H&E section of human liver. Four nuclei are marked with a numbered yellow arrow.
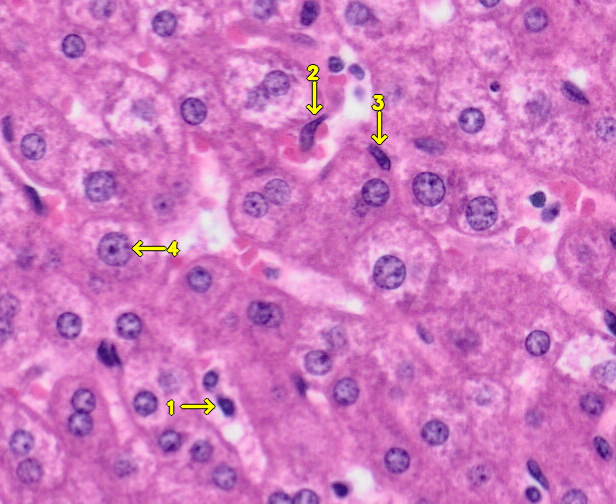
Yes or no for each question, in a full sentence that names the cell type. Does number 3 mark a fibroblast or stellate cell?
Yes, in this section the cell numbered 3 is a fibroblast or stellate cell.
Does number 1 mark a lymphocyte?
Yes, the cell given number 1 is a lymphocyte.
